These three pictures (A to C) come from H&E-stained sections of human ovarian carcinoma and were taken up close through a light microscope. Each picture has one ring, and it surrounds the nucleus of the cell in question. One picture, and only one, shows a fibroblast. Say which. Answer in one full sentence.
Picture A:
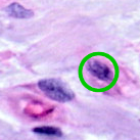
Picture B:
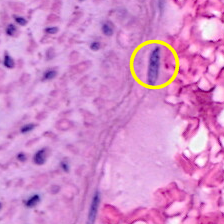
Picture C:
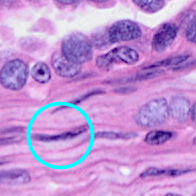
The fibroblast is the one in picture C.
